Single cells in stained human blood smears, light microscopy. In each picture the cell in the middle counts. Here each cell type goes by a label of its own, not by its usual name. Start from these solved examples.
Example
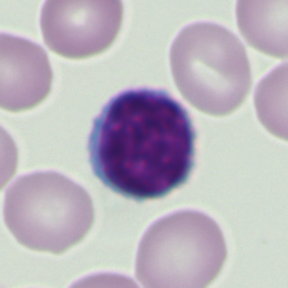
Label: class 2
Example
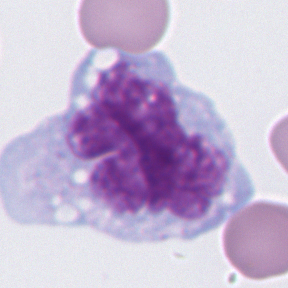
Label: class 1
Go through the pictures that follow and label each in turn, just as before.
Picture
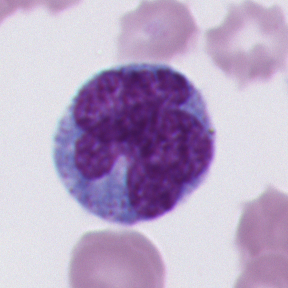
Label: class 1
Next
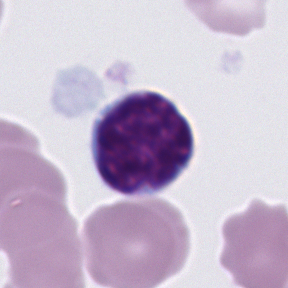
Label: class 2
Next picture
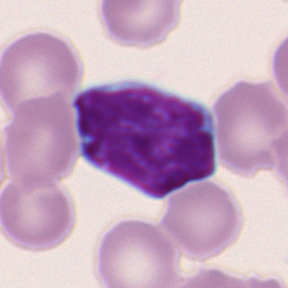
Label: class 2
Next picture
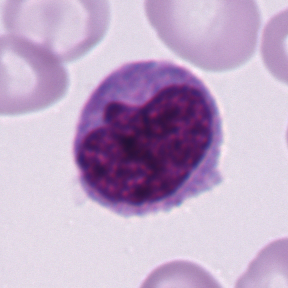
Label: class 1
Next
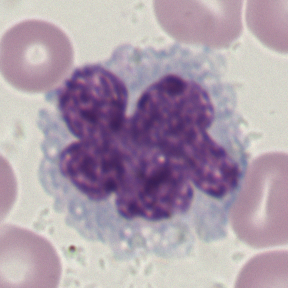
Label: class 1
